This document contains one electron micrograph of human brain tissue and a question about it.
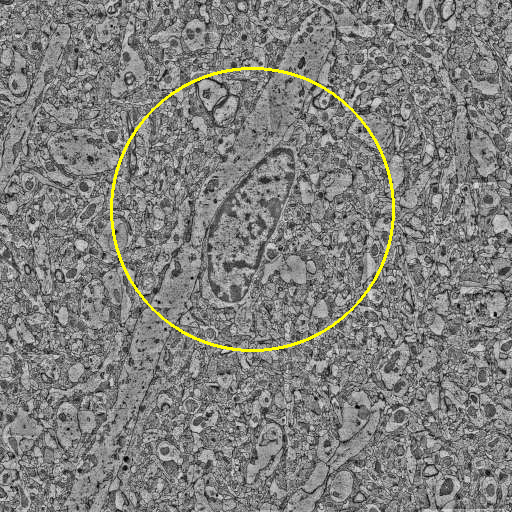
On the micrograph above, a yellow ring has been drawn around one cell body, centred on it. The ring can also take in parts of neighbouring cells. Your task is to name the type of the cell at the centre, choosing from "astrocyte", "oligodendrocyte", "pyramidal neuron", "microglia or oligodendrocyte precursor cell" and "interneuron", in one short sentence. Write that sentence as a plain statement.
Here the ring is centred on a microglial cell or oligodendrocyte precursor cell.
